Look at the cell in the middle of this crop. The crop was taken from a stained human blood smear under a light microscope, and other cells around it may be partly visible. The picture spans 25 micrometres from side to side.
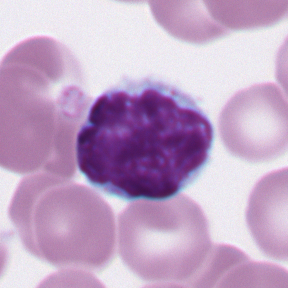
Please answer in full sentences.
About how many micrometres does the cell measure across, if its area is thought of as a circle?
About 12 micrometres: that is the cell's diameter.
